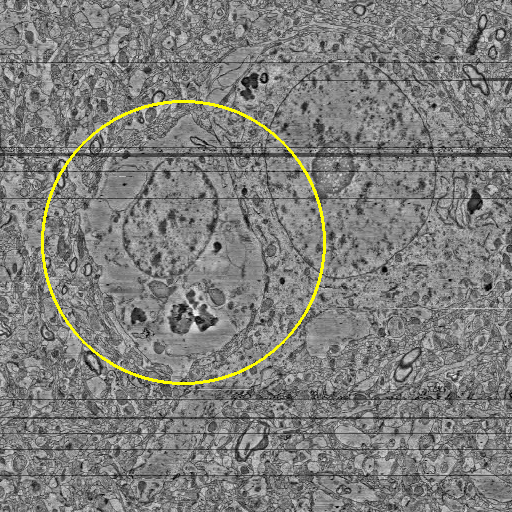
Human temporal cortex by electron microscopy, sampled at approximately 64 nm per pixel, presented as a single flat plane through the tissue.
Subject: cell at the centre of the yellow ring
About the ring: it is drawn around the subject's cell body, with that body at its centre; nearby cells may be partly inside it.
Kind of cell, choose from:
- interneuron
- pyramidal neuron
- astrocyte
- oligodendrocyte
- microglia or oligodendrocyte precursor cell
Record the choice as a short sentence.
The subject cell is an astrocyte.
